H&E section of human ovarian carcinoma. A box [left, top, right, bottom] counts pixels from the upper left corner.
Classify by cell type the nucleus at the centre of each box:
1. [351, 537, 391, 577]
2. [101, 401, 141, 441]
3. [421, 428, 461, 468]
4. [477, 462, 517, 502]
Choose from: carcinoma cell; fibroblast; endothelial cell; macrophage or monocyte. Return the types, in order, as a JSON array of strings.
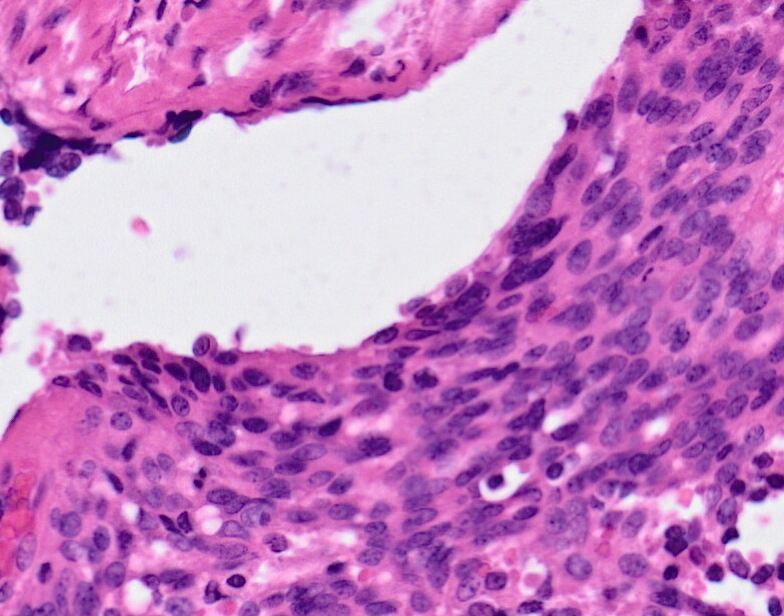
["carcinoma cell", "macrophage or monocyte", "carcinoma cell", "carcinoma cell"]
